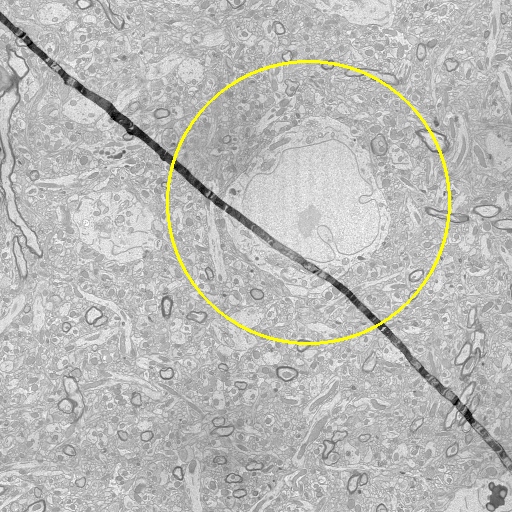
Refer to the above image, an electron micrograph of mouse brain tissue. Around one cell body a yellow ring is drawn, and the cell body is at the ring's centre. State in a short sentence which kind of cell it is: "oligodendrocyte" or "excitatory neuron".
The centre of the ring falls on an excitatory neuron.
